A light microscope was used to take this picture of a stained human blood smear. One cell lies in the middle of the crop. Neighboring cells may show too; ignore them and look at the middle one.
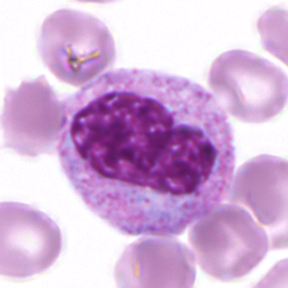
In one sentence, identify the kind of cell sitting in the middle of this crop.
The cell around which this crop is centred is a metamyelocyte.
